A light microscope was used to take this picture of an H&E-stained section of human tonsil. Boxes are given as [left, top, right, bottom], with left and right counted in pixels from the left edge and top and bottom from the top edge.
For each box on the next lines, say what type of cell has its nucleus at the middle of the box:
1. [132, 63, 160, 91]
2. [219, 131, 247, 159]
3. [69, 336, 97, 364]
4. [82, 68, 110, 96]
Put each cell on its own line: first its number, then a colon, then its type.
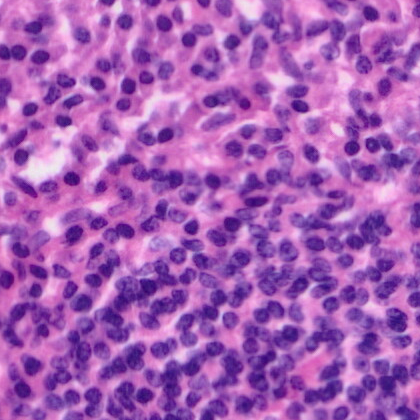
1: plasma cell
2: plasma cell
3: small lymphocyte
4: plasma cell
